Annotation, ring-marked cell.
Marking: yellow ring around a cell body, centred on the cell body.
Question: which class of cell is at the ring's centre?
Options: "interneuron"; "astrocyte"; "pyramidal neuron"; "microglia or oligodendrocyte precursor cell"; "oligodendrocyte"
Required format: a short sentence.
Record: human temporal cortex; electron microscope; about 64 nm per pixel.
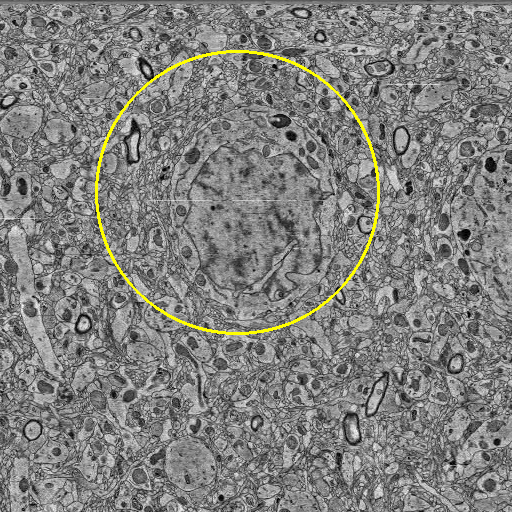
At the ring's centre is an interneuron.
